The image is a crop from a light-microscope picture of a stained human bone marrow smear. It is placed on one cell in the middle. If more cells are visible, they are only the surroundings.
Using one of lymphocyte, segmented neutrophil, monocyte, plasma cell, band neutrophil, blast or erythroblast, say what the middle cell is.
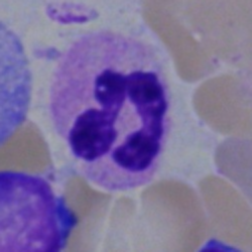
segmented neutrophil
